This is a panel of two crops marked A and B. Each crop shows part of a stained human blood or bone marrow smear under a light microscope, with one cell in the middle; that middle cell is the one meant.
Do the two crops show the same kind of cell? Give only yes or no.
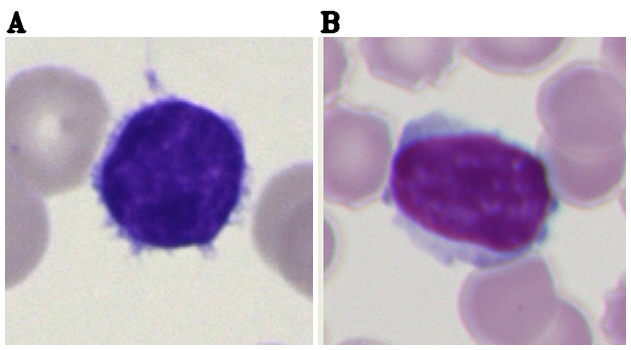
yes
